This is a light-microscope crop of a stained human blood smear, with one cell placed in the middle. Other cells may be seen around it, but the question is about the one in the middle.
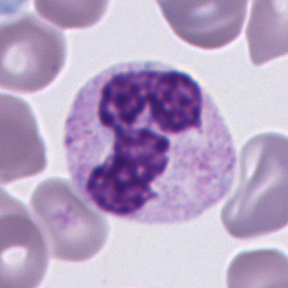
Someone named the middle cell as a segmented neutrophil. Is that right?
yes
